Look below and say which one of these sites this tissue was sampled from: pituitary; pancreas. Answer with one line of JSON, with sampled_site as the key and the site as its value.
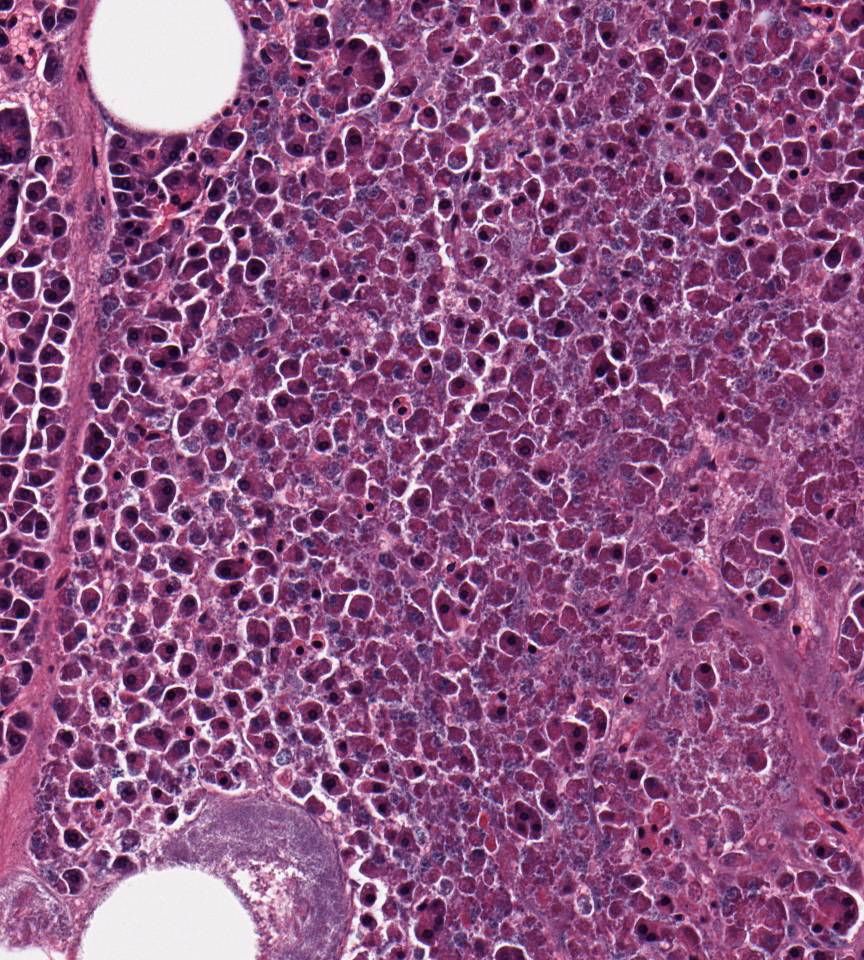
{"sampled_site": "pancreas"}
